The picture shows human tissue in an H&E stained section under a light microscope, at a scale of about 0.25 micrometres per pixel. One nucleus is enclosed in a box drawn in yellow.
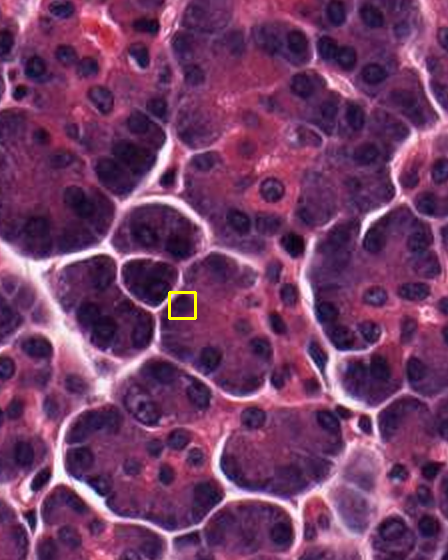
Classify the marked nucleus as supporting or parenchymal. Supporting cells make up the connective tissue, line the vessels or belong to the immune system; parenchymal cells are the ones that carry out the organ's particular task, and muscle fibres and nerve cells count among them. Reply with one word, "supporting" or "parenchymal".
parenchymal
